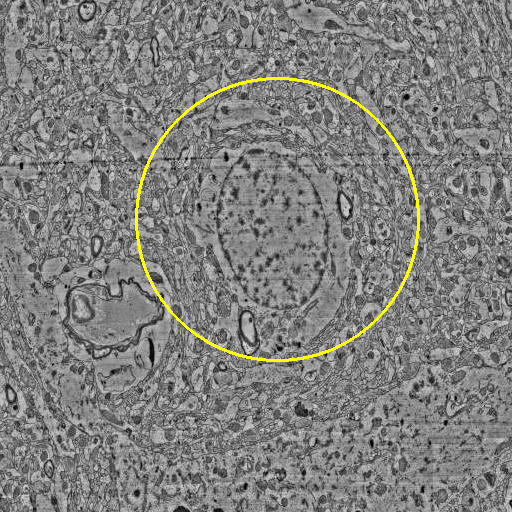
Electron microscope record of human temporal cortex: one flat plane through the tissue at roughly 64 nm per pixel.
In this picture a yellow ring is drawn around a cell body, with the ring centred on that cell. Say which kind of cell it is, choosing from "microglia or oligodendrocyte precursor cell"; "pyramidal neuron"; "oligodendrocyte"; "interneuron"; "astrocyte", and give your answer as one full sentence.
Here it is an astrocyte that sits at the centre of the drawn yellow ring.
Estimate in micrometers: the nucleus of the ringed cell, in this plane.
Roughly 10 by 7 micrometres is the size of the nucleus in this plane.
